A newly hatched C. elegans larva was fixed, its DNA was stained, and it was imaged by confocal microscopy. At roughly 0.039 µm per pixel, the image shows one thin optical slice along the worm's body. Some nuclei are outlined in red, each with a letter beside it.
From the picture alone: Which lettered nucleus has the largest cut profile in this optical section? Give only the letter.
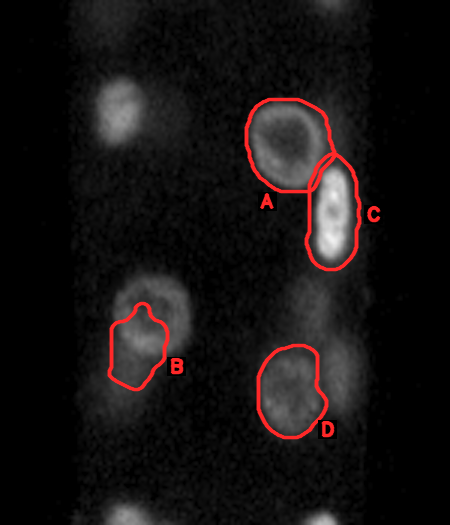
A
